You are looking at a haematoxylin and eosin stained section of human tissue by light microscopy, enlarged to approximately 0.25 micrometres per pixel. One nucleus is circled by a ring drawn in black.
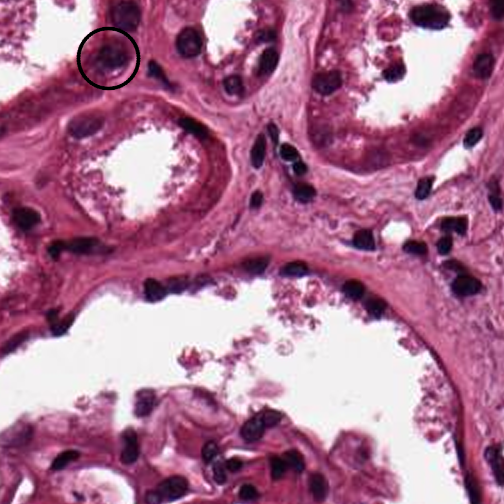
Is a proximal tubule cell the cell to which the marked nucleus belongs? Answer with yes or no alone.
yes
